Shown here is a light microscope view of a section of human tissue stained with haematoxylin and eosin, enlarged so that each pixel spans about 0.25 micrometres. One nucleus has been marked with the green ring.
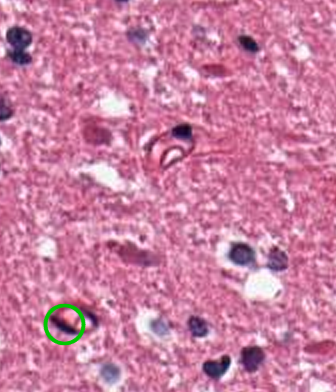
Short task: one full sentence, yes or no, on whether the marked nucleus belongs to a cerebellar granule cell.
No, a cerebellar granule cell does not own the marked nucleus, which belongs to a supporting cell.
